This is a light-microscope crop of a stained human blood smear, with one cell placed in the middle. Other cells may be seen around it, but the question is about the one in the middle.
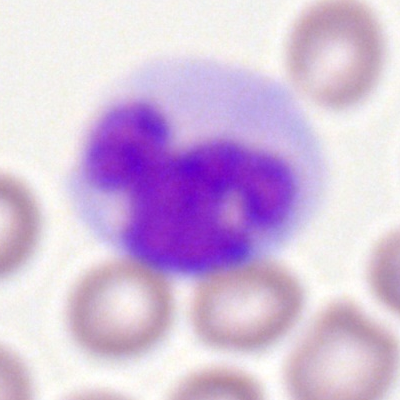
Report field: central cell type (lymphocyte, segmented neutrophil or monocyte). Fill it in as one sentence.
Centred in the crop is a monocyte.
